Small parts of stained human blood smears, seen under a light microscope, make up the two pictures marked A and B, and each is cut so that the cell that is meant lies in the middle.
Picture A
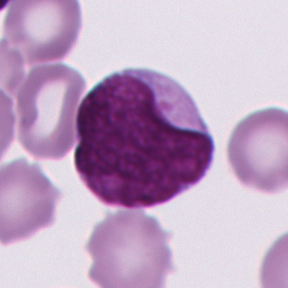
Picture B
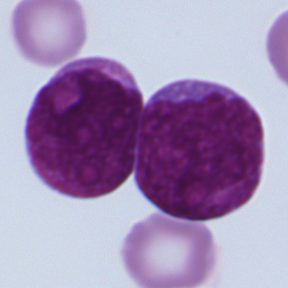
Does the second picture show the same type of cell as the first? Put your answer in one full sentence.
Yes, they are the same type: both are myeloblasts.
